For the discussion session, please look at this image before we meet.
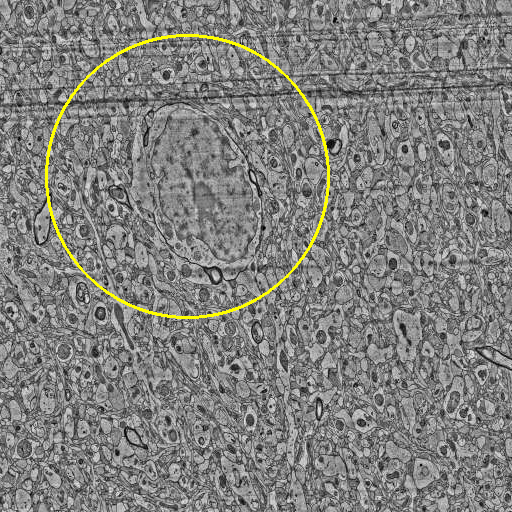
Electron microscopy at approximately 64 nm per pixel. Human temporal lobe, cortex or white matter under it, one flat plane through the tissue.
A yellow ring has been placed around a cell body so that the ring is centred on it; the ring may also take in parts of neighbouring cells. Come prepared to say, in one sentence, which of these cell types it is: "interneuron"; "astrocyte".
The cell centred in the ring is an interneuron.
